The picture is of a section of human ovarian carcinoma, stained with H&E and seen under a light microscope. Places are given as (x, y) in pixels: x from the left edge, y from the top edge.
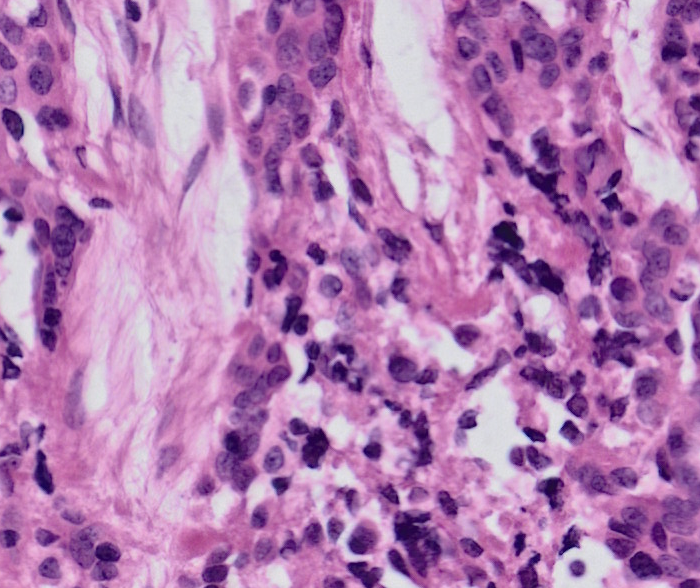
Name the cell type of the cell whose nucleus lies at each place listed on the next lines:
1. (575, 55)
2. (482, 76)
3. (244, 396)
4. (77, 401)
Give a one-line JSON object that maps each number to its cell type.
{"1": "carcinoma cell", "2": "carcinoma cell", "3": "carcinoma cell", "4": "fibroblast"}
